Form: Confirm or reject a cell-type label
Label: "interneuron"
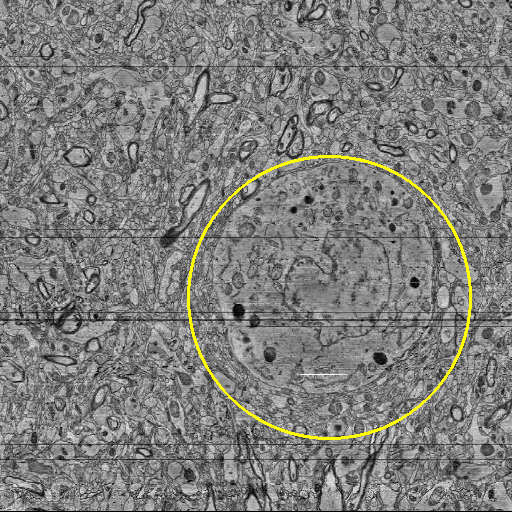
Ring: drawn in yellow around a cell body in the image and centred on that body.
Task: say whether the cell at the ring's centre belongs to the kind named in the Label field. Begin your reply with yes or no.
No, it belongs to another kind.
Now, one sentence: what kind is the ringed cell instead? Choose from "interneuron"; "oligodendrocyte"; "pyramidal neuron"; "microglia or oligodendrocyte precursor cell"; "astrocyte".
The cell this ring marks is a pyramidal neuron.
